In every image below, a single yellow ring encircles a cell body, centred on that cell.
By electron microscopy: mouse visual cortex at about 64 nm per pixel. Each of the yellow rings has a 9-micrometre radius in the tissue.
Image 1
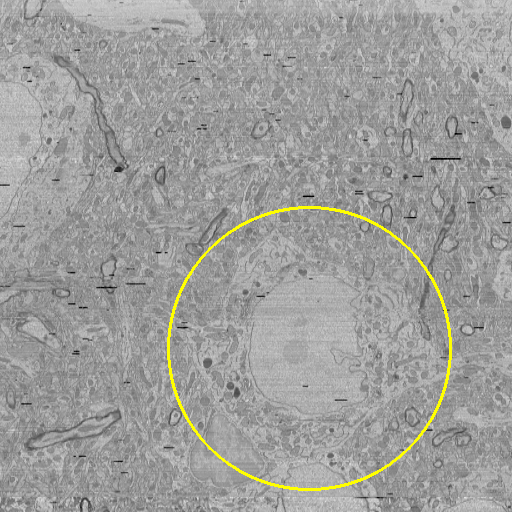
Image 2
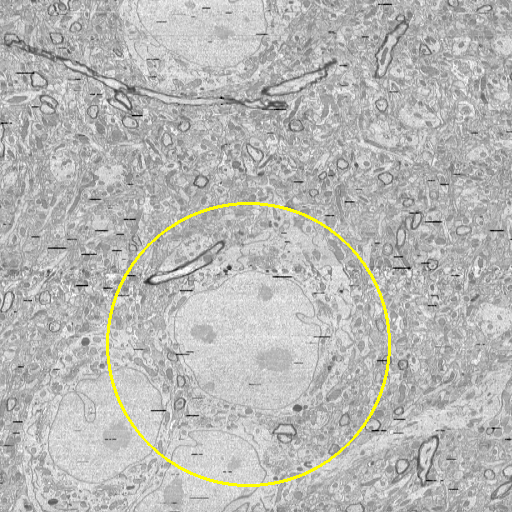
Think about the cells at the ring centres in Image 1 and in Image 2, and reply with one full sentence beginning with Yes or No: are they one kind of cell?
No, the cells centred in the rings of Image 1 and Image 2 are two kinds of cell.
